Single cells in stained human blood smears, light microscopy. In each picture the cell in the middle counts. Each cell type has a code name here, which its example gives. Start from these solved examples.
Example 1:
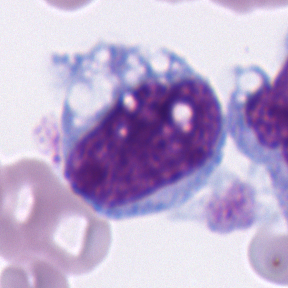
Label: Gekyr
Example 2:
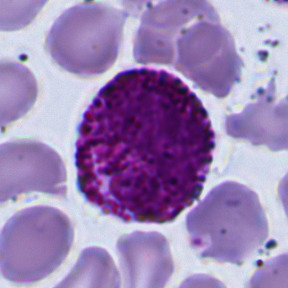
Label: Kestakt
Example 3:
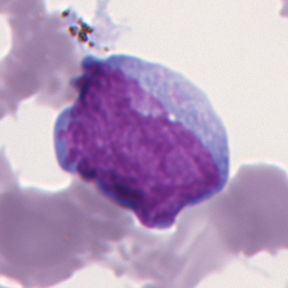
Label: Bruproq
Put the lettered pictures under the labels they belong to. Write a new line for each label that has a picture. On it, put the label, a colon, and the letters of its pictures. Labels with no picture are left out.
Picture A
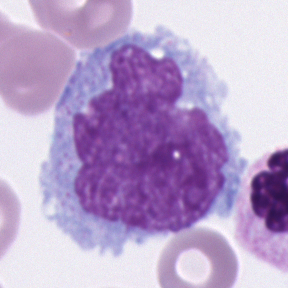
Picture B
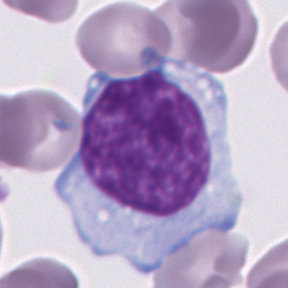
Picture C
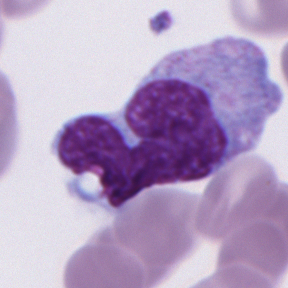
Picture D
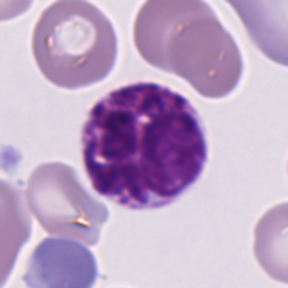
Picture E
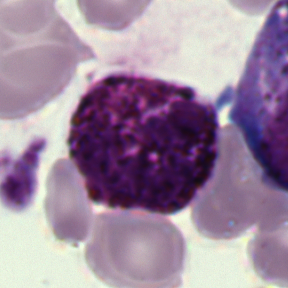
Gekyr: A, C
Kestakt: D, E
Bruproq: B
